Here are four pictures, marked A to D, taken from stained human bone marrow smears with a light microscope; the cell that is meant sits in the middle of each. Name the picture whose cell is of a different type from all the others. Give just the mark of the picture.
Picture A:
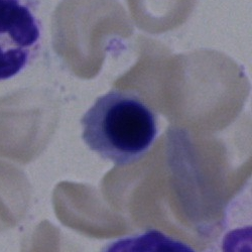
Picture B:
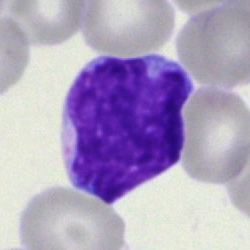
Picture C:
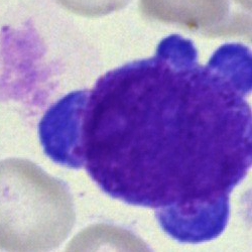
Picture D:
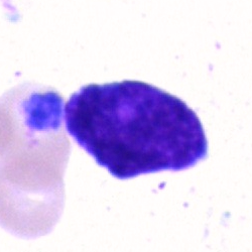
A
